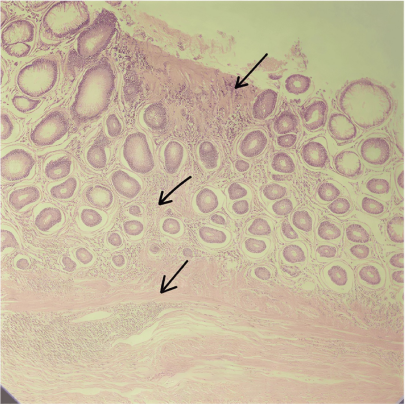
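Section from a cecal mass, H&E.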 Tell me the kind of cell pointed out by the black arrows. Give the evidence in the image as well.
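Cellular sheets extend below the muscularis into the deeper layer.
Malignant lymphoid cells.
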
